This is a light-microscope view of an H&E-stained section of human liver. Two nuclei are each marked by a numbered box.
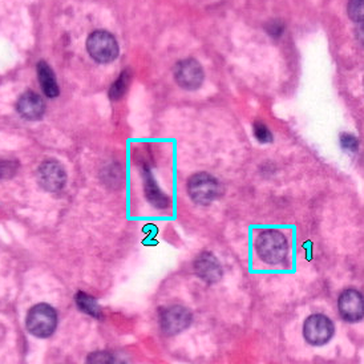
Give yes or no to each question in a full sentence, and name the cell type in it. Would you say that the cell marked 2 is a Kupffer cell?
Yes, the cell that is numbered 2 is a Kupffer cell.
